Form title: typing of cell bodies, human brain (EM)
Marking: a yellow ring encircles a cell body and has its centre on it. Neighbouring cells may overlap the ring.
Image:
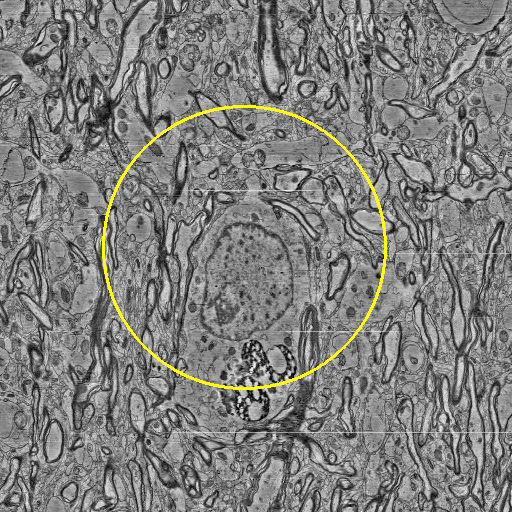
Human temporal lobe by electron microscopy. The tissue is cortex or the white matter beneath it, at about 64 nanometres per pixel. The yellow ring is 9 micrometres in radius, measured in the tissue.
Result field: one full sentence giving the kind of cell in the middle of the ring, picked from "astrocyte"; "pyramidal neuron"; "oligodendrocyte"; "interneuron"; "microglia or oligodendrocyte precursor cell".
In the picture, the ring is centred on an astrocyte, whose cell body it encircles.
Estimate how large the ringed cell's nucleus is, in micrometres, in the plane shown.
In this plane the nucleus measures roughly 8 by 6 micrometers.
